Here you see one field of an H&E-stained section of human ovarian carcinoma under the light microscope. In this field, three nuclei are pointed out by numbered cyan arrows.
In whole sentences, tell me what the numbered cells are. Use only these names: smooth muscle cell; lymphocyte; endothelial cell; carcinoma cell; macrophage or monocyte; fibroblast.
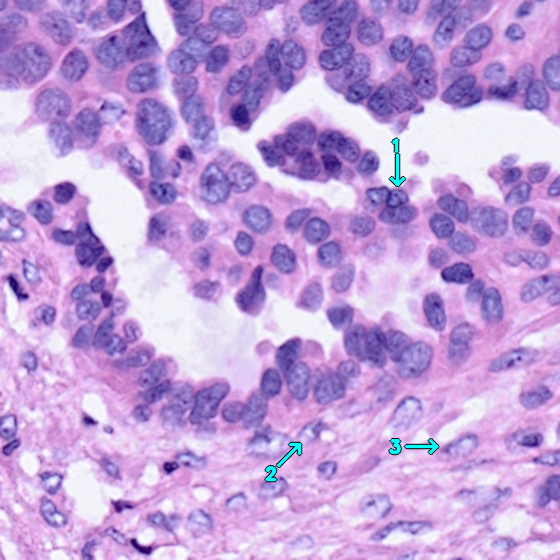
Cell 1 is a carcinoma cell, cell 2 is a fibroblast and cell 3 is a fibroblast.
